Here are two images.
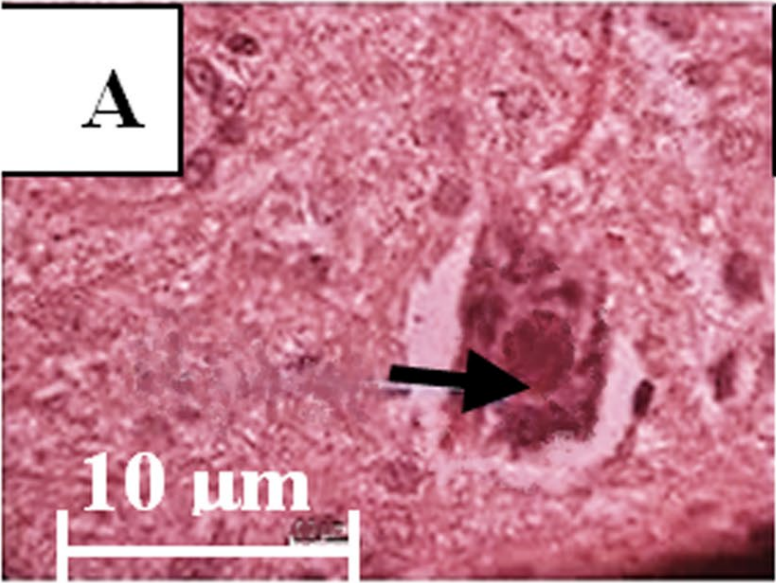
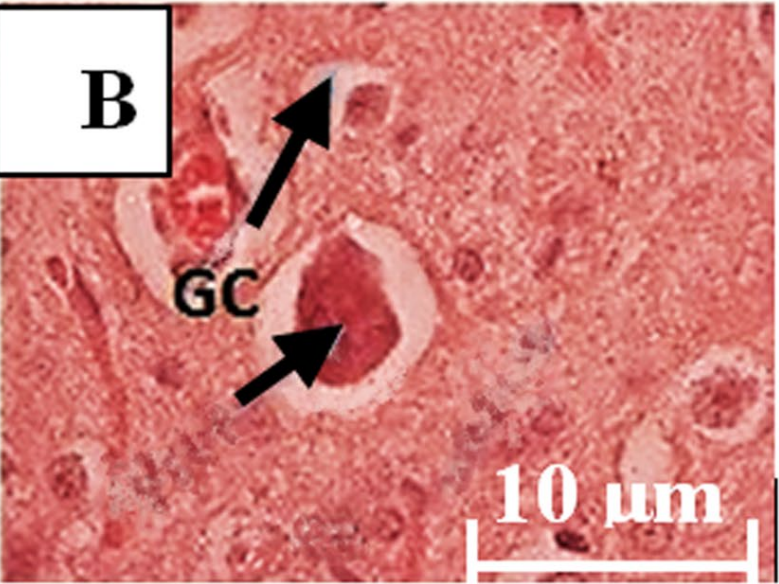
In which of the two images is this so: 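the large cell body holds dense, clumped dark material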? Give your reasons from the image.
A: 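Second image: the large cell body is stained a fairly even red without dark clumps. First image: the large cell body contains dark, clumped purplish material. That points to this answer: the first image.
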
